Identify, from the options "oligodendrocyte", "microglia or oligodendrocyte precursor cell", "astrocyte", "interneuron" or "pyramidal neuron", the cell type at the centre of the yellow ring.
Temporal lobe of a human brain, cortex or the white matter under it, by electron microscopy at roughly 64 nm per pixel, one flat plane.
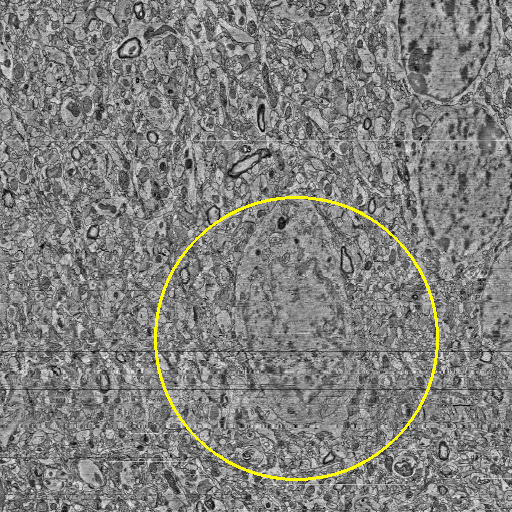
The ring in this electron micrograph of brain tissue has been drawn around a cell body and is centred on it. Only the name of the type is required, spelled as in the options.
interneuron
